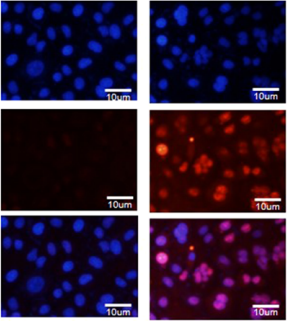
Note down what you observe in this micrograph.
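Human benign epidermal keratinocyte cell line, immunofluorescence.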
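In one column of images the red label is bright and sits over the nuclei, so the merged view shows them pink to magenta. In the other column the red is only a faint haze and the merged nuclei stay blue.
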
